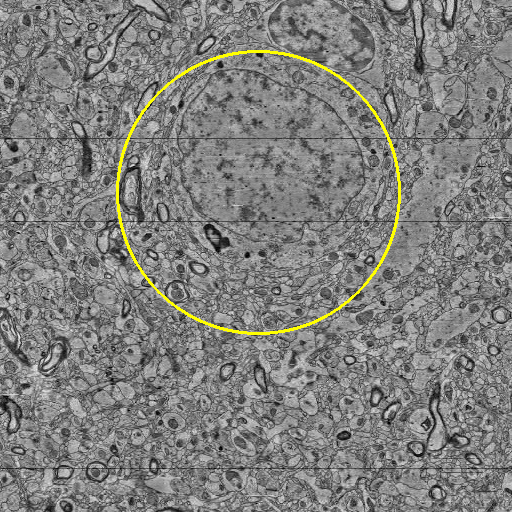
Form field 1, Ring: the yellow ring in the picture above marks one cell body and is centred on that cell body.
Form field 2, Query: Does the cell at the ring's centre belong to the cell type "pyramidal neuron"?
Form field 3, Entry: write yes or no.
yes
